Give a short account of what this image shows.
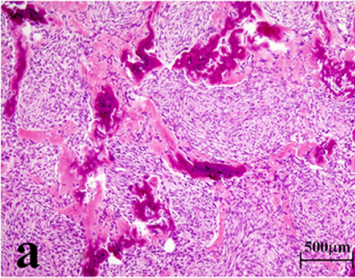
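At low magnification this tumor tissue shows high cellularity: sheets of densely packed spindle cells run in sweeping bundles across the field. Scattered through them are irregular pink trabeculae and dark purple mineralized fragments of osseous material.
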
